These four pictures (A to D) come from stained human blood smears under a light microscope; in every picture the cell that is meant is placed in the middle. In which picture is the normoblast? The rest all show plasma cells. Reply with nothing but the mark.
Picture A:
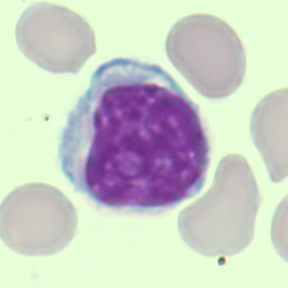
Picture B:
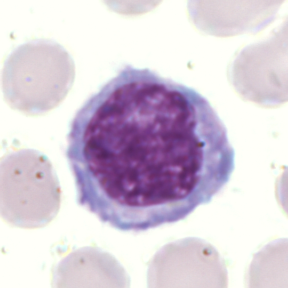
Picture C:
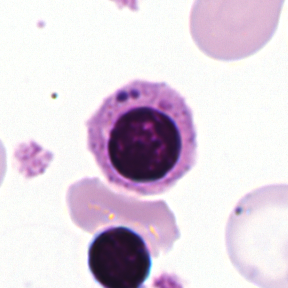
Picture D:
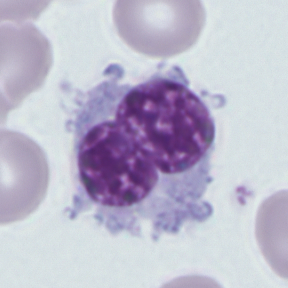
C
